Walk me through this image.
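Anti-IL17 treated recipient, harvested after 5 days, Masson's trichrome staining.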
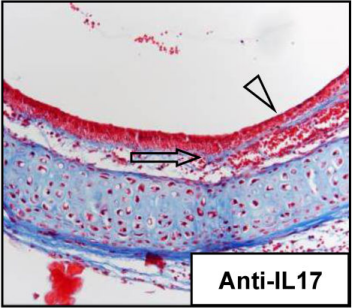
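This tracheal wall is lined by a tall, intensely red-staining epithelium whose nuclei lie at different heights, the look of a pseudostratified respiratory lining. The epithelium sits on a thin underlying layer, beneath which red cells and loose tissue are seen. Below that runs a plate of hyaline cartilage with rounded chondrocytes in lacunae set in pale blue matrix. Blue-stained connective tissue borders the cartilage on its outer side. Loose red blood cells lie free in the lumen above the epithelium.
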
